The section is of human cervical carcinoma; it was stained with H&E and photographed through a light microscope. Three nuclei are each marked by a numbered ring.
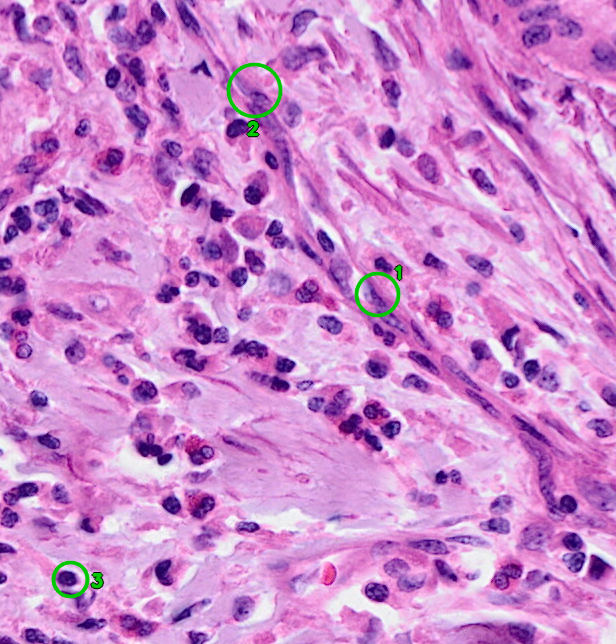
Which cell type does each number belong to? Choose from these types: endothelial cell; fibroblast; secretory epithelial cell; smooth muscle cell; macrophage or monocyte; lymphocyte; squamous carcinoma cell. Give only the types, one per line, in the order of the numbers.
endothelial cell
endothelial cell
lymphocyte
